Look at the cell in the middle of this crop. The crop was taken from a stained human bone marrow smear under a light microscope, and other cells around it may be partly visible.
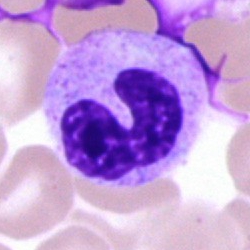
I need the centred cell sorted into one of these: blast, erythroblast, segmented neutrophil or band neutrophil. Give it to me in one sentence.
Classification of the middle cell gives a band neutrophil.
